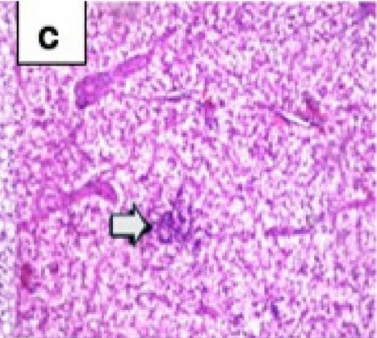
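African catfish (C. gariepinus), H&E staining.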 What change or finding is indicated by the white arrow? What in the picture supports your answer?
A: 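A small dense dark purple focus sits within pale pink tissue. The focus is made of closely packed small dark nuclei.
Hence: focal lymphoid aggregation.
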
